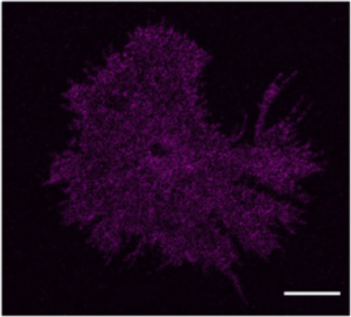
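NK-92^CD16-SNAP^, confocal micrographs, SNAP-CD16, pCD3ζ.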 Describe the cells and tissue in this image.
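A single cell spread on glass shows its contact area (synapse) evenly filled with finely speckled magenta fluorescence. Numerous thin, finger-like protrusions extend from one side of the cell. A few small dark holes interrupt the signal near the middle.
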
